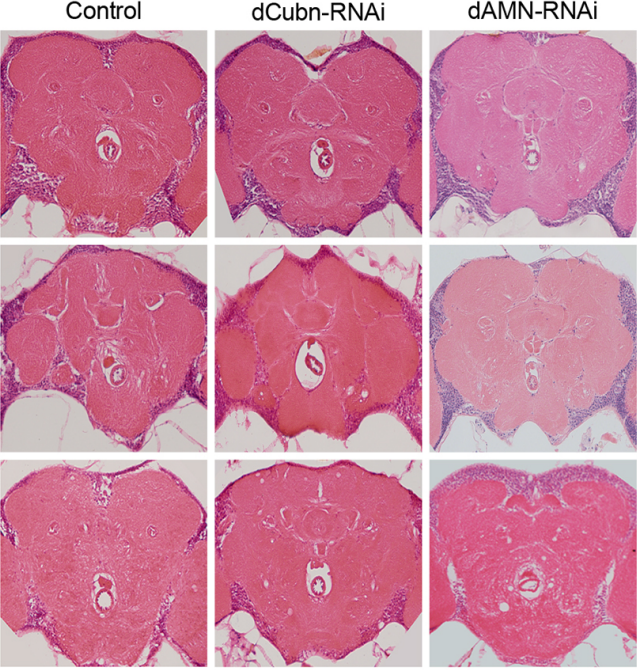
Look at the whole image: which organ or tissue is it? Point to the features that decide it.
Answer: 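Each section shows a symmetric bilobed organ with a central pink neuropil. A dark purple rim of densely packed small nuclei surrounds the neuropil. A central canal-like opening sits on the midline.
Answer: brain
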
